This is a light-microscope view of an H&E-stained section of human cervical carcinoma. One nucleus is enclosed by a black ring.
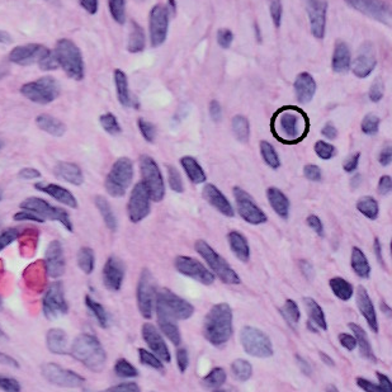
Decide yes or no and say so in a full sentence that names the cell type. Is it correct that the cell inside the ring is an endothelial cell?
No, rather than being an endothelial cell, the cell inside the ring is a fibroblast.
